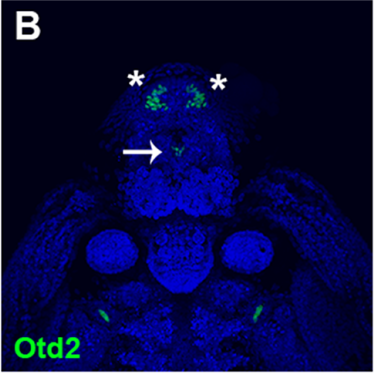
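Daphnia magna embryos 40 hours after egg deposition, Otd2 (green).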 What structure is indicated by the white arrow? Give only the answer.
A: ocellus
